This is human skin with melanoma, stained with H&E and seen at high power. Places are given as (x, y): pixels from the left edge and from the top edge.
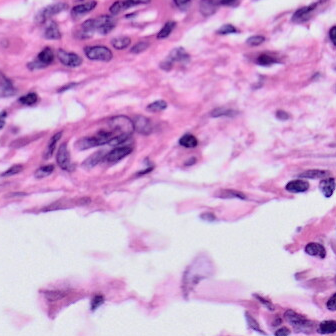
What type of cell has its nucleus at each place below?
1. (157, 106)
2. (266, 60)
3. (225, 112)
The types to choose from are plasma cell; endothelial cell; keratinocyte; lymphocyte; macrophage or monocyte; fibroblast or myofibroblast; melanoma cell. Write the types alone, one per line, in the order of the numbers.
lymphocyte
plasma cell
fibroblast or myofibroblast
